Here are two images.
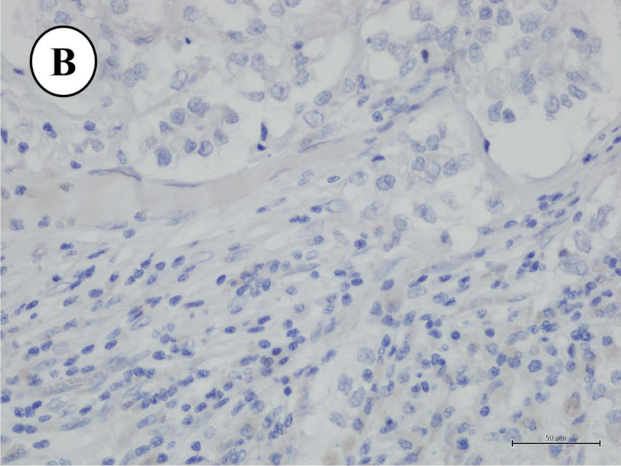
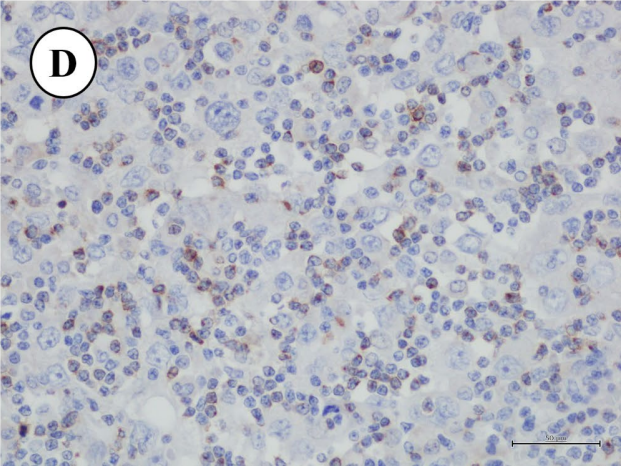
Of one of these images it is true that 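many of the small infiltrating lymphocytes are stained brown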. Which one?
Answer: The second image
